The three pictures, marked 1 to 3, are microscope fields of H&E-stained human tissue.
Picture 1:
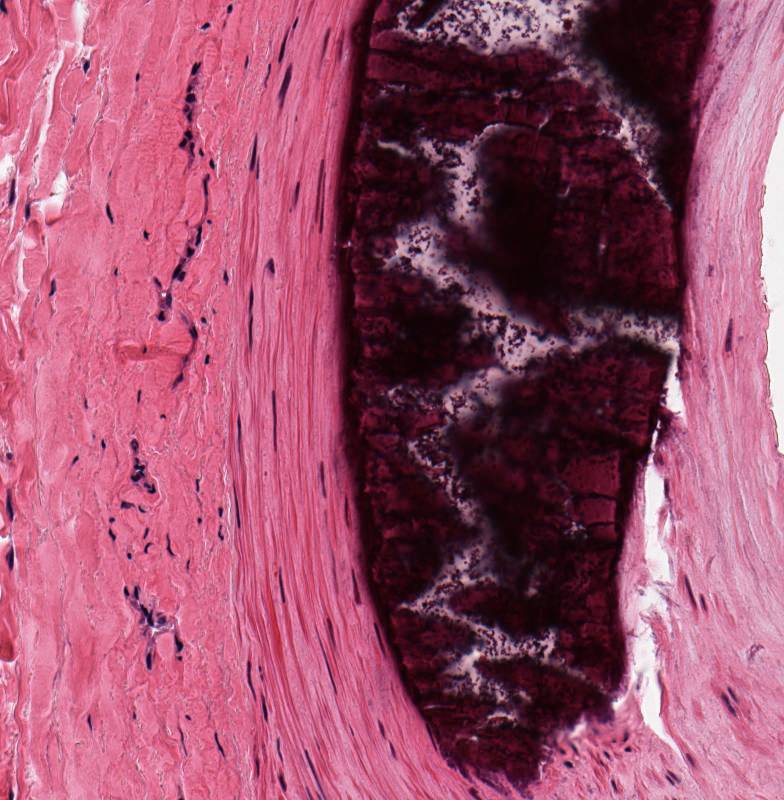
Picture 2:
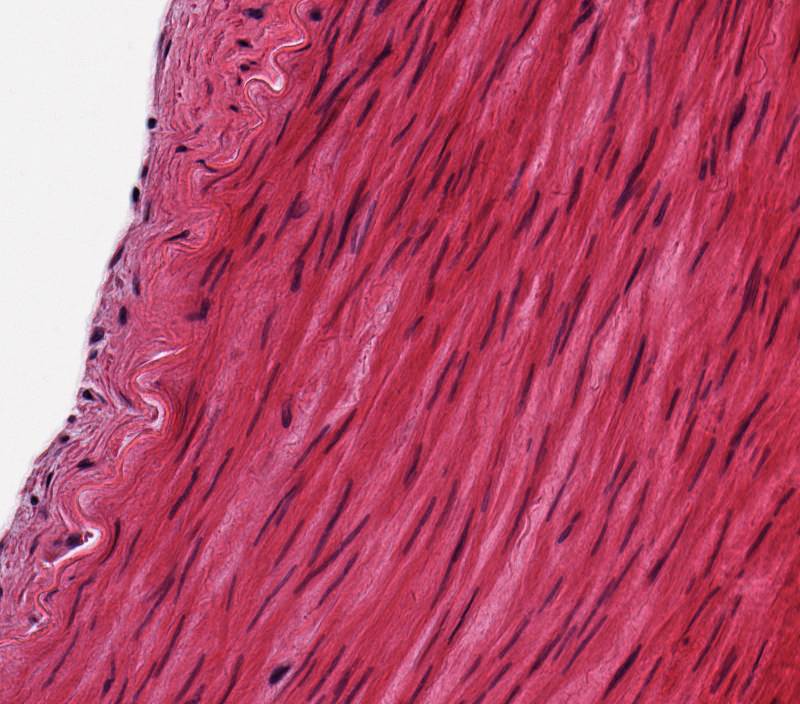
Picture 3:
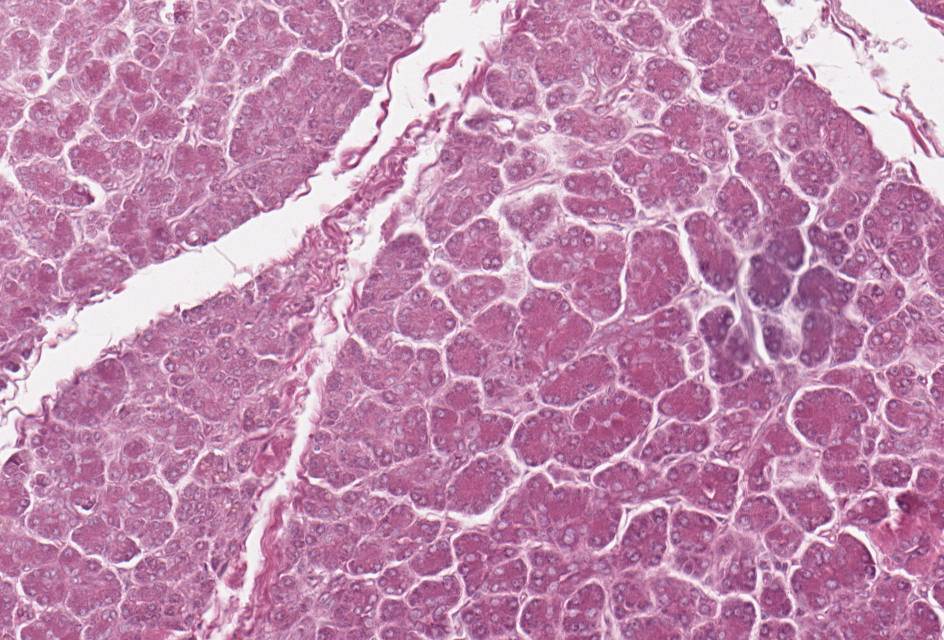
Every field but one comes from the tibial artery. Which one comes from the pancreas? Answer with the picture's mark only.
3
